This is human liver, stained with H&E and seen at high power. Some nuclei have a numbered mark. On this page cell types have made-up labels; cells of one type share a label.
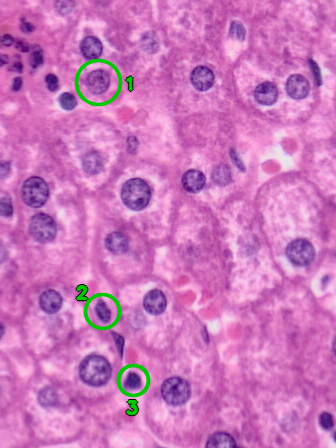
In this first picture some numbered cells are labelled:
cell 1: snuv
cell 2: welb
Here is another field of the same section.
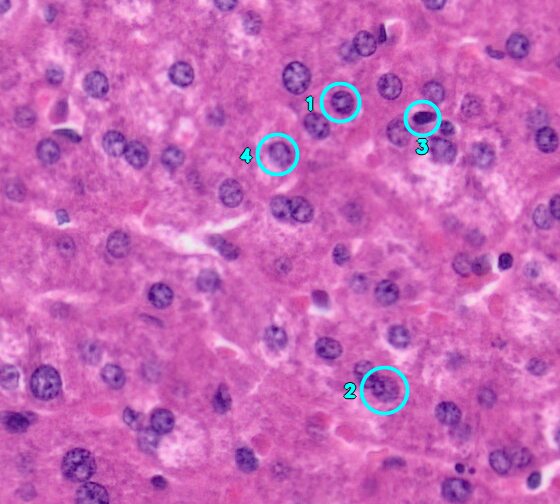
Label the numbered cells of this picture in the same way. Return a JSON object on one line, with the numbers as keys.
{"1": "snuv", "2": "snuv", "3": "welb", "4": "snuv"}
